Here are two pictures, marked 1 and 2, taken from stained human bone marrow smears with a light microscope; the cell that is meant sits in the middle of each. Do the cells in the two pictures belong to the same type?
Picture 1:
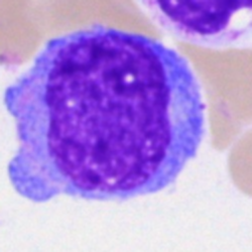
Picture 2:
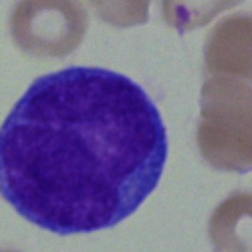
yes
